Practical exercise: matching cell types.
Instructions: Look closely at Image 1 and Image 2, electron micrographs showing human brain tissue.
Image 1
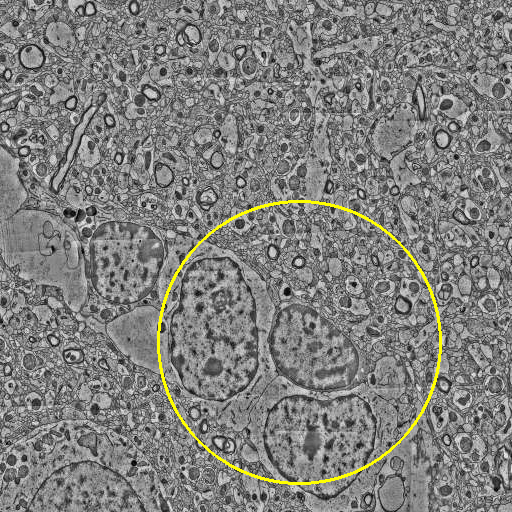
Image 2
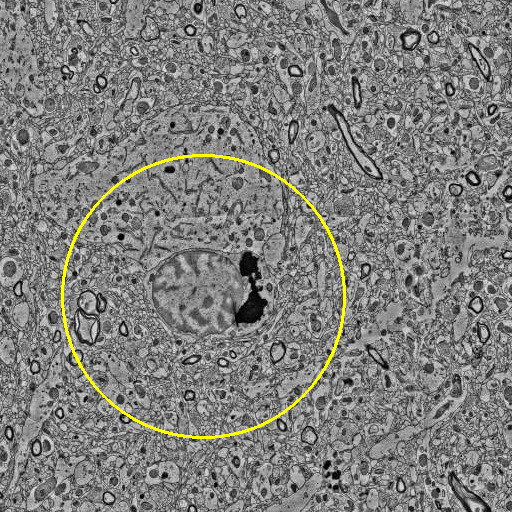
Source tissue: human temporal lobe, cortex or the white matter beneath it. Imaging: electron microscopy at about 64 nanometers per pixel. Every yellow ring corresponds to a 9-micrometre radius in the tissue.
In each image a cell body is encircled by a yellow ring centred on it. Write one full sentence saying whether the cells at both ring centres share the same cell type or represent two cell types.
Across Image 1 and Image 2, the cells at the ring centres share the same cell type.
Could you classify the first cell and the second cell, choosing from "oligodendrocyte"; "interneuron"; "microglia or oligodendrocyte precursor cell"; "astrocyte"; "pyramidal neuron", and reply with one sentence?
In the first picture and in the second, the ring is centred on an oligodendrocyte.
